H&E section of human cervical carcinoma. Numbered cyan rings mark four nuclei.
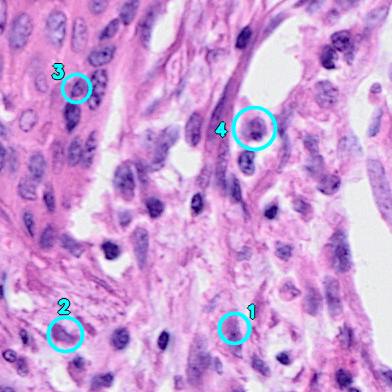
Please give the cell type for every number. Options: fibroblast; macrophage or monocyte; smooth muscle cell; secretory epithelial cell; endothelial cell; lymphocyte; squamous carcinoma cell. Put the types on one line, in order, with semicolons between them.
fibroblast; fibroblast; squamous carcinoma cell; macrophage or monocyte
